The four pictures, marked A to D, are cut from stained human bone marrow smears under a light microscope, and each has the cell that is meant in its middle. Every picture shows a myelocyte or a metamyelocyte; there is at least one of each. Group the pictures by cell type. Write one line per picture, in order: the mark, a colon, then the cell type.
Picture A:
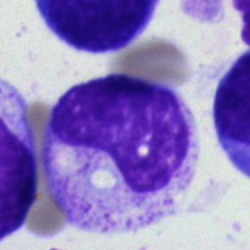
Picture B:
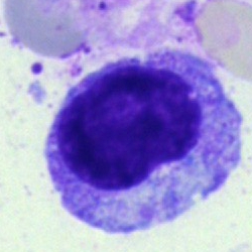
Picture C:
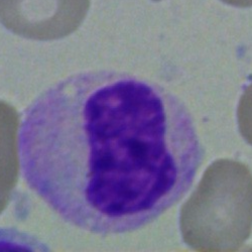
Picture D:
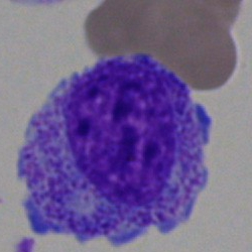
A: metamyelocyte
B: metamyelocyte
C: metamyelocyte
D: myelocyte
